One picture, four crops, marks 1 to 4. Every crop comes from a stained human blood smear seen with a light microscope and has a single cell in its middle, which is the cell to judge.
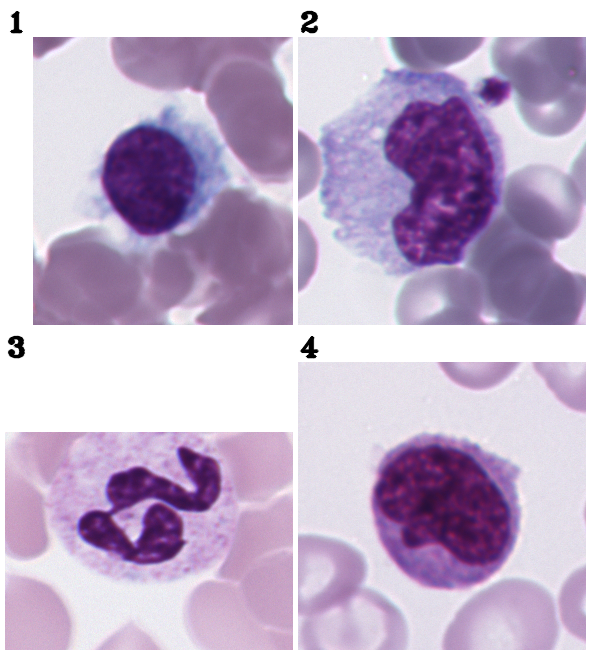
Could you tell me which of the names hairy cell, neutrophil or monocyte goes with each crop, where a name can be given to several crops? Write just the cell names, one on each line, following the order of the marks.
hairy cell
monocyte
neutrophil
monocyte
